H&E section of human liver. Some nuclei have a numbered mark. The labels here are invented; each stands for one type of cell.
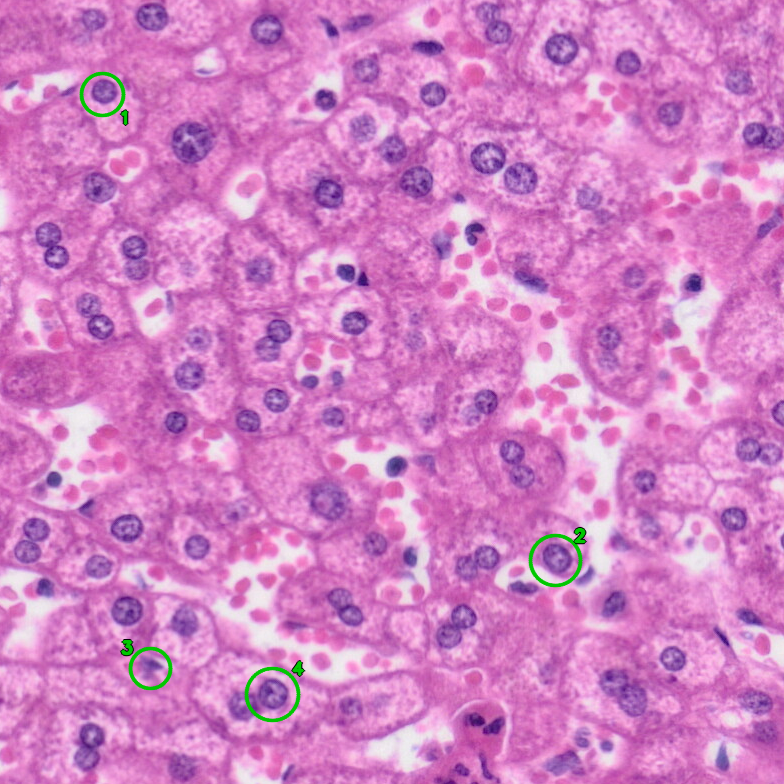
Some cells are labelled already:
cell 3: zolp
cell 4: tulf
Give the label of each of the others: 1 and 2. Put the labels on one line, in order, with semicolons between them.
tulf; tulf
